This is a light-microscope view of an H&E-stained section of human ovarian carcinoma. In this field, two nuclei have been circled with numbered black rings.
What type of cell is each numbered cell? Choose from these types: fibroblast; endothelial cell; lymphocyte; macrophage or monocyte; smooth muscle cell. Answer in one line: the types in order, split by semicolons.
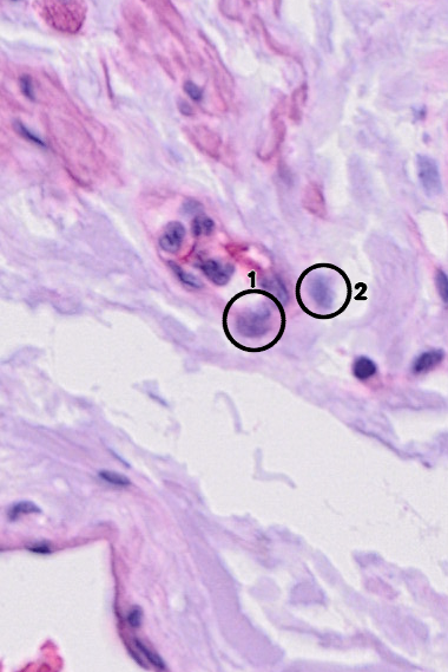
endothelial cell; fibroblast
